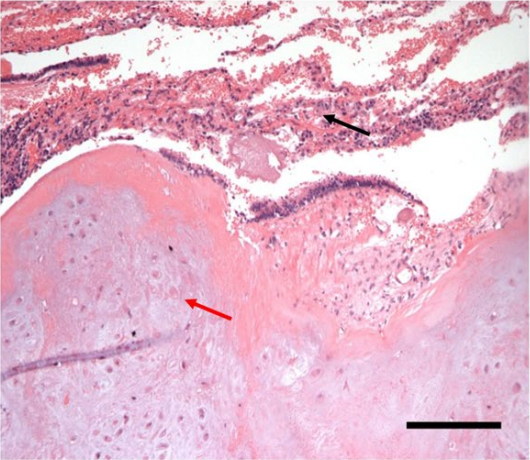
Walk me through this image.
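This section shows lung tissue lying over a cartilaginous tumour. The lower two thirds are taken up by a nodule of pale blue-grey to pink homogeneous matrix. Within the matrix, rounded chondrocytes lie scattered singly in small clear spaces, or lacunae. A denser pink band rims the edge of the nodule. Above it, a thin strip of lung tissue runs across the field. Many red blood cells fill the spaces, and darkly stained cells line some surfaces.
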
